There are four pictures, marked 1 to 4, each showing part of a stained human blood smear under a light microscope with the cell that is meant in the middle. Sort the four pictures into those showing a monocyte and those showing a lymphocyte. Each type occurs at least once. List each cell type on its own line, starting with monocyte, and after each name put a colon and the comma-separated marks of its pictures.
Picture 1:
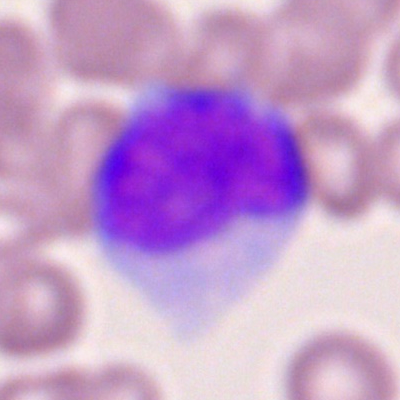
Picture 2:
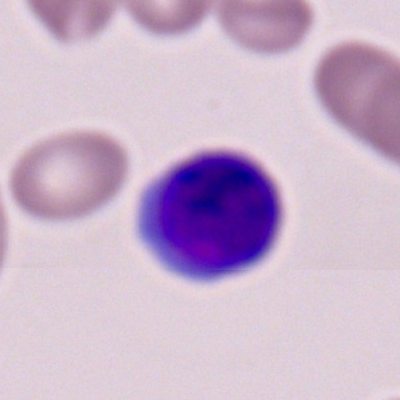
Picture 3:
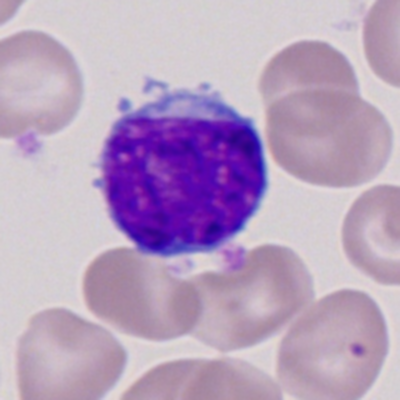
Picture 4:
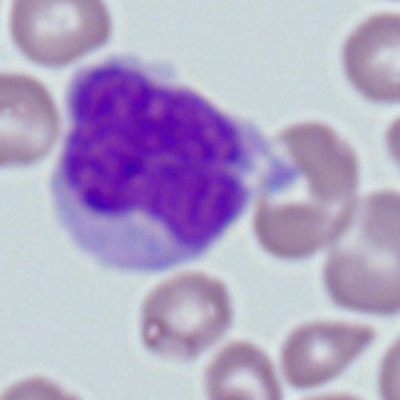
monocyte: 1, 4
lymphocyte: 2, 3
